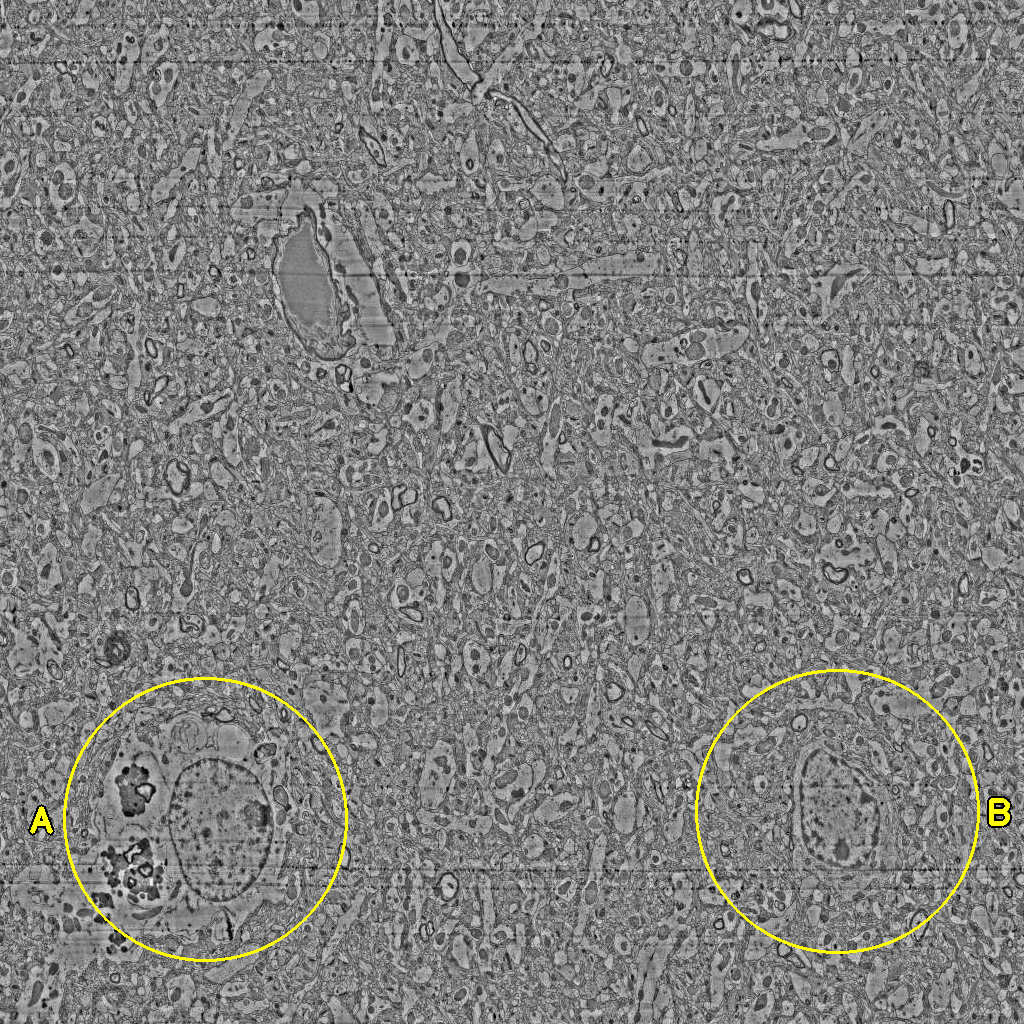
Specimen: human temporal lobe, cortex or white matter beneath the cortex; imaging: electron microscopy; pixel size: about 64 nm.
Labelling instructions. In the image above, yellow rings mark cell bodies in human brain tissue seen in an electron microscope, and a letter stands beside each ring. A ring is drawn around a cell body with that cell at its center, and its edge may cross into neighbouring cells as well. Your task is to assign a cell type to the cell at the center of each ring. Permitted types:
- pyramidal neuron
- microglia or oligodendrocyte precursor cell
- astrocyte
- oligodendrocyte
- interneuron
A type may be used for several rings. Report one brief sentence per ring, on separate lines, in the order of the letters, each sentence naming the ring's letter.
The cell at the center of ring A is an astrocyte.
The cell at the center of ring B is a microglial cell or oligodendrocyte precursor cell.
